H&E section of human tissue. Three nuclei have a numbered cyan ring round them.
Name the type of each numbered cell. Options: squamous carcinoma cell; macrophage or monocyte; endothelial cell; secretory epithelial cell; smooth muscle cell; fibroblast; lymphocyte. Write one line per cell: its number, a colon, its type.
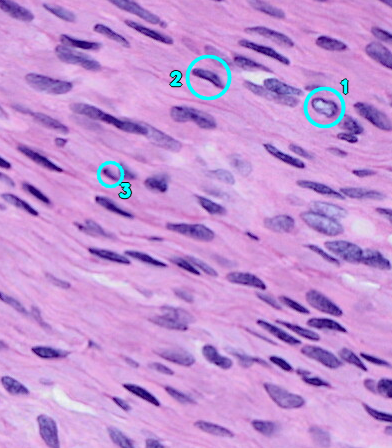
1: endothelial cell
2: fibroblast
3: fibroblast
